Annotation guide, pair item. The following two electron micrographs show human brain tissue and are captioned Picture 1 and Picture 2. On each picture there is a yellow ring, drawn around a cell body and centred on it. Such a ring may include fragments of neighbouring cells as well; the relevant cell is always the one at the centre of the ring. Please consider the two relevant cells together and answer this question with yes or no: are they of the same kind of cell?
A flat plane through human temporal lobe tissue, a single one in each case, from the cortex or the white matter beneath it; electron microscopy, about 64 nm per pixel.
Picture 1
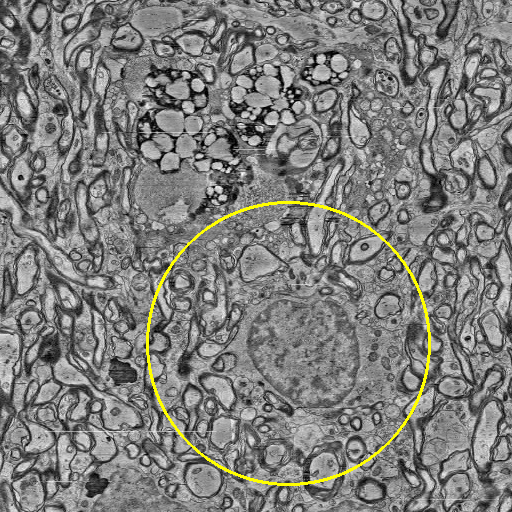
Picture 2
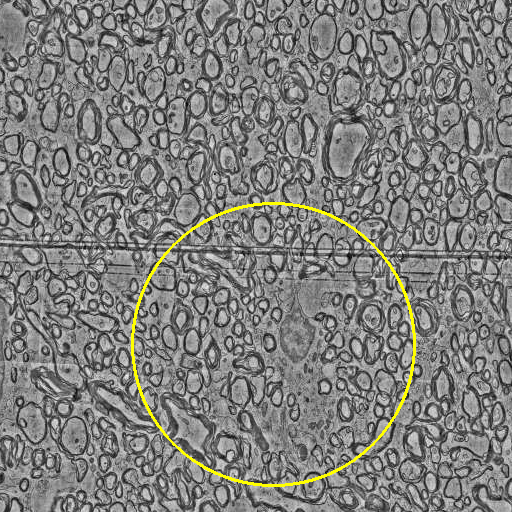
yes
